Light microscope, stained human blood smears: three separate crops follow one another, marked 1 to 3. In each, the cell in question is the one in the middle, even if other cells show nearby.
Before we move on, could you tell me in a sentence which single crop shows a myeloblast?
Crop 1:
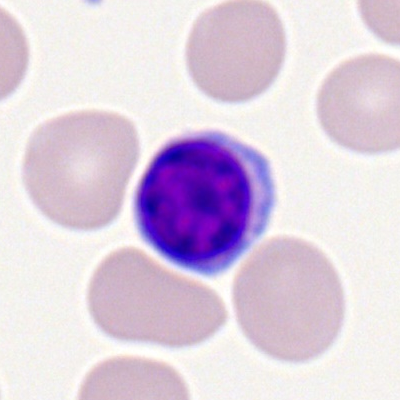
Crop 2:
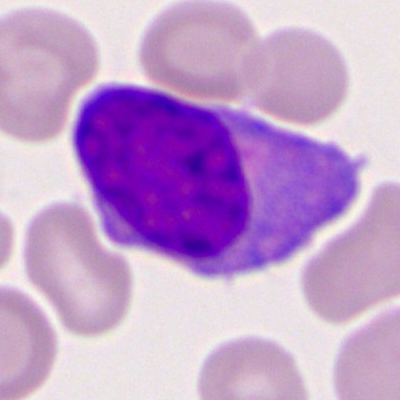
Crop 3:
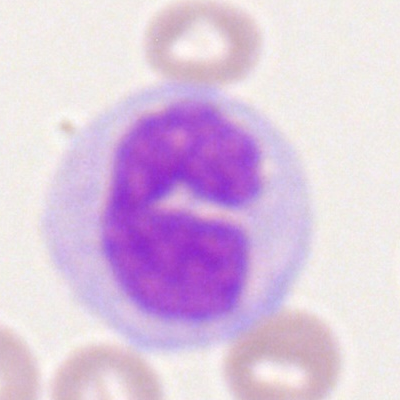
The one that shows a myeloblast is crop 2.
